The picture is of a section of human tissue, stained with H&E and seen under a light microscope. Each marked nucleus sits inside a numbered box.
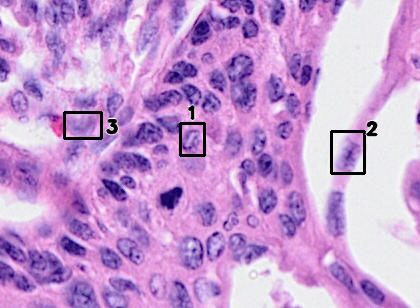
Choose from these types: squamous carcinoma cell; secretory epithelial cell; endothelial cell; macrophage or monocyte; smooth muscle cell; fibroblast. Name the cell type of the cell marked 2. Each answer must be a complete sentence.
In this section, number 2 marks a squamous carcinoma cell.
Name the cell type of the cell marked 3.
The cell that carries the label 3 is an endothelial cell.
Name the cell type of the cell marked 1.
The cell bearing label 1 corresponds to a squamous carcinoma cell.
